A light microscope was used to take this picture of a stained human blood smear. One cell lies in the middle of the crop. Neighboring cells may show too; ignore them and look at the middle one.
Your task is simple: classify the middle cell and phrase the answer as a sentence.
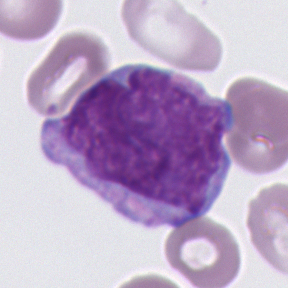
The single cell at the center of the crop is an atypical promyelocyte.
